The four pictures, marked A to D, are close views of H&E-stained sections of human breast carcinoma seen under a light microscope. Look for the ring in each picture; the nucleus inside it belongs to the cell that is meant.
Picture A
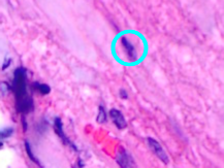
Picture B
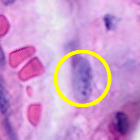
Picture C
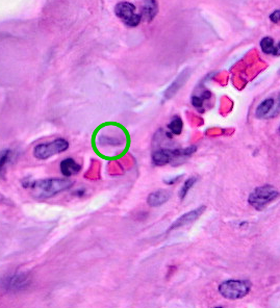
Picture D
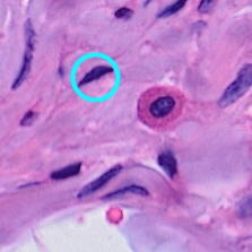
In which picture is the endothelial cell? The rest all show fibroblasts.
C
